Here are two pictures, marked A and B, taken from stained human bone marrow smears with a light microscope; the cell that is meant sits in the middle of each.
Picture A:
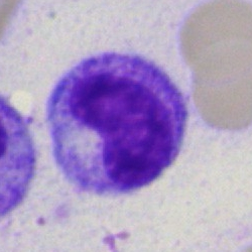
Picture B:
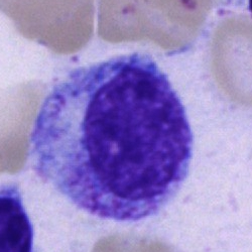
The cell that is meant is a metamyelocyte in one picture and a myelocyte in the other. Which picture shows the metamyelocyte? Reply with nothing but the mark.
A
